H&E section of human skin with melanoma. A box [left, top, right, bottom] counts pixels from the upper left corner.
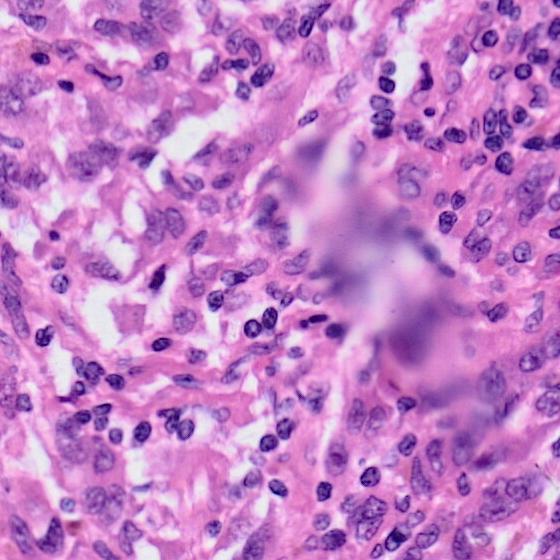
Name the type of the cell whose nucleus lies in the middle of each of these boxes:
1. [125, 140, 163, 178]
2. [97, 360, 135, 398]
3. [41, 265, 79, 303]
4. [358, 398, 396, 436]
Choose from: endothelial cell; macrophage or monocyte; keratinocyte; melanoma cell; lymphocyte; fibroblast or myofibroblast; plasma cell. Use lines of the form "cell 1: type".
cell 1: melanoma cell
cell 2: lymphocyte
cell 3: lymphocyte
cell 4: melanoma cell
